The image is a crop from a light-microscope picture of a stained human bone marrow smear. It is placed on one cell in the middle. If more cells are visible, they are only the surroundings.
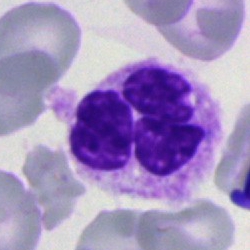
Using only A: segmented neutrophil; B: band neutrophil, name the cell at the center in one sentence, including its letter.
The central cell in this crop is a segmented neutrophil, corresponding to option A, the correct option.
